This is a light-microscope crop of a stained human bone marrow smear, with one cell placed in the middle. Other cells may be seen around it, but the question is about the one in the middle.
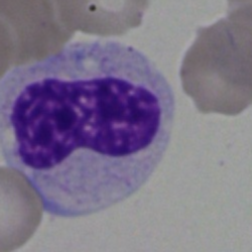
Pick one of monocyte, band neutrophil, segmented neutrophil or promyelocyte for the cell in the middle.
band neutrophil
